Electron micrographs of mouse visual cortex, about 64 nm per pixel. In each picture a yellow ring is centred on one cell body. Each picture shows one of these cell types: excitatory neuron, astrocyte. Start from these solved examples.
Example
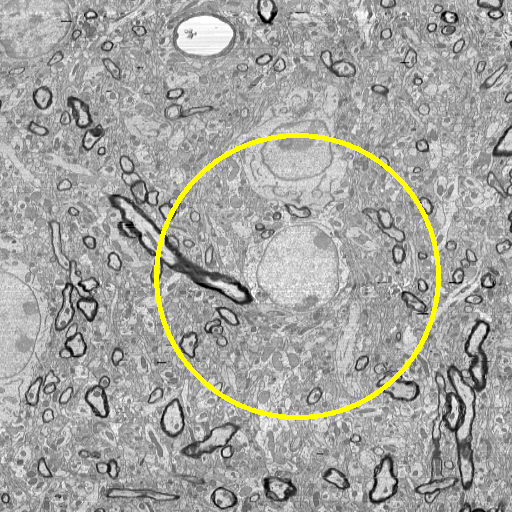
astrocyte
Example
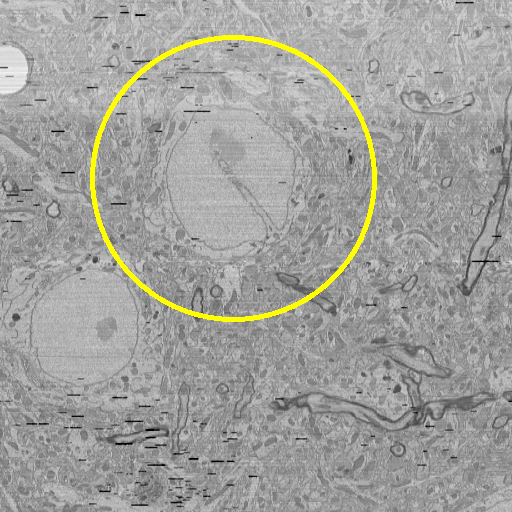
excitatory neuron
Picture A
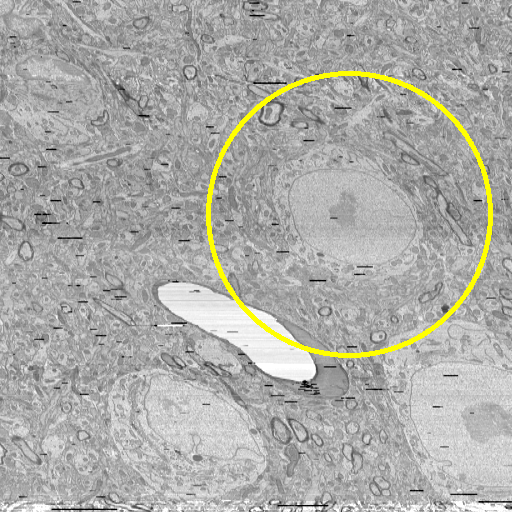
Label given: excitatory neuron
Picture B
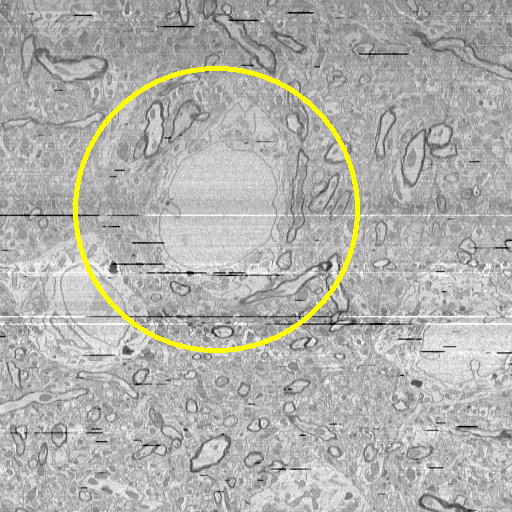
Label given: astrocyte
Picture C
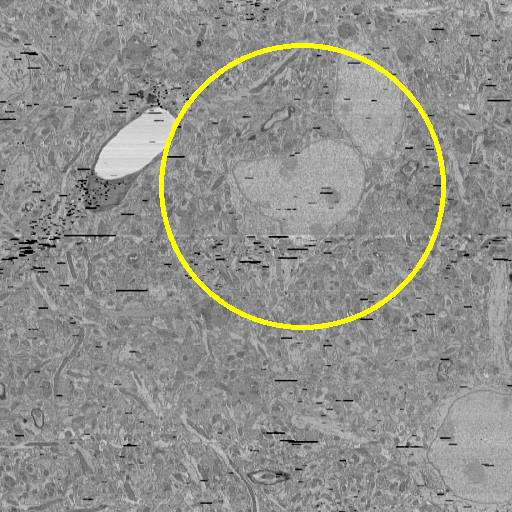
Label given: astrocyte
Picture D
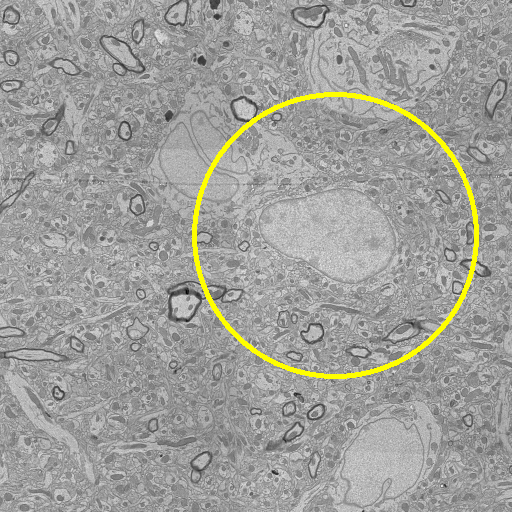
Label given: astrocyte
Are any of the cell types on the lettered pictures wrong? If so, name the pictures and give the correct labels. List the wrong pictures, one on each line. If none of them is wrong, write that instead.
B: excitatory neuron, not astrocyte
